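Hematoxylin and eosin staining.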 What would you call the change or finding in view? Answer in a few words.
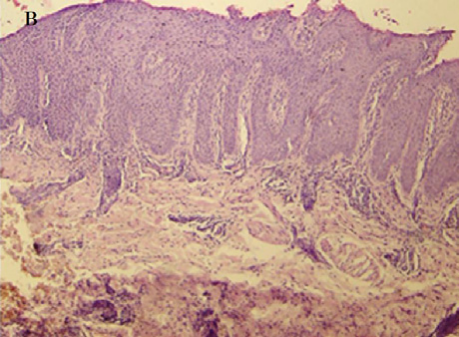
regular elongation of rete ridges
